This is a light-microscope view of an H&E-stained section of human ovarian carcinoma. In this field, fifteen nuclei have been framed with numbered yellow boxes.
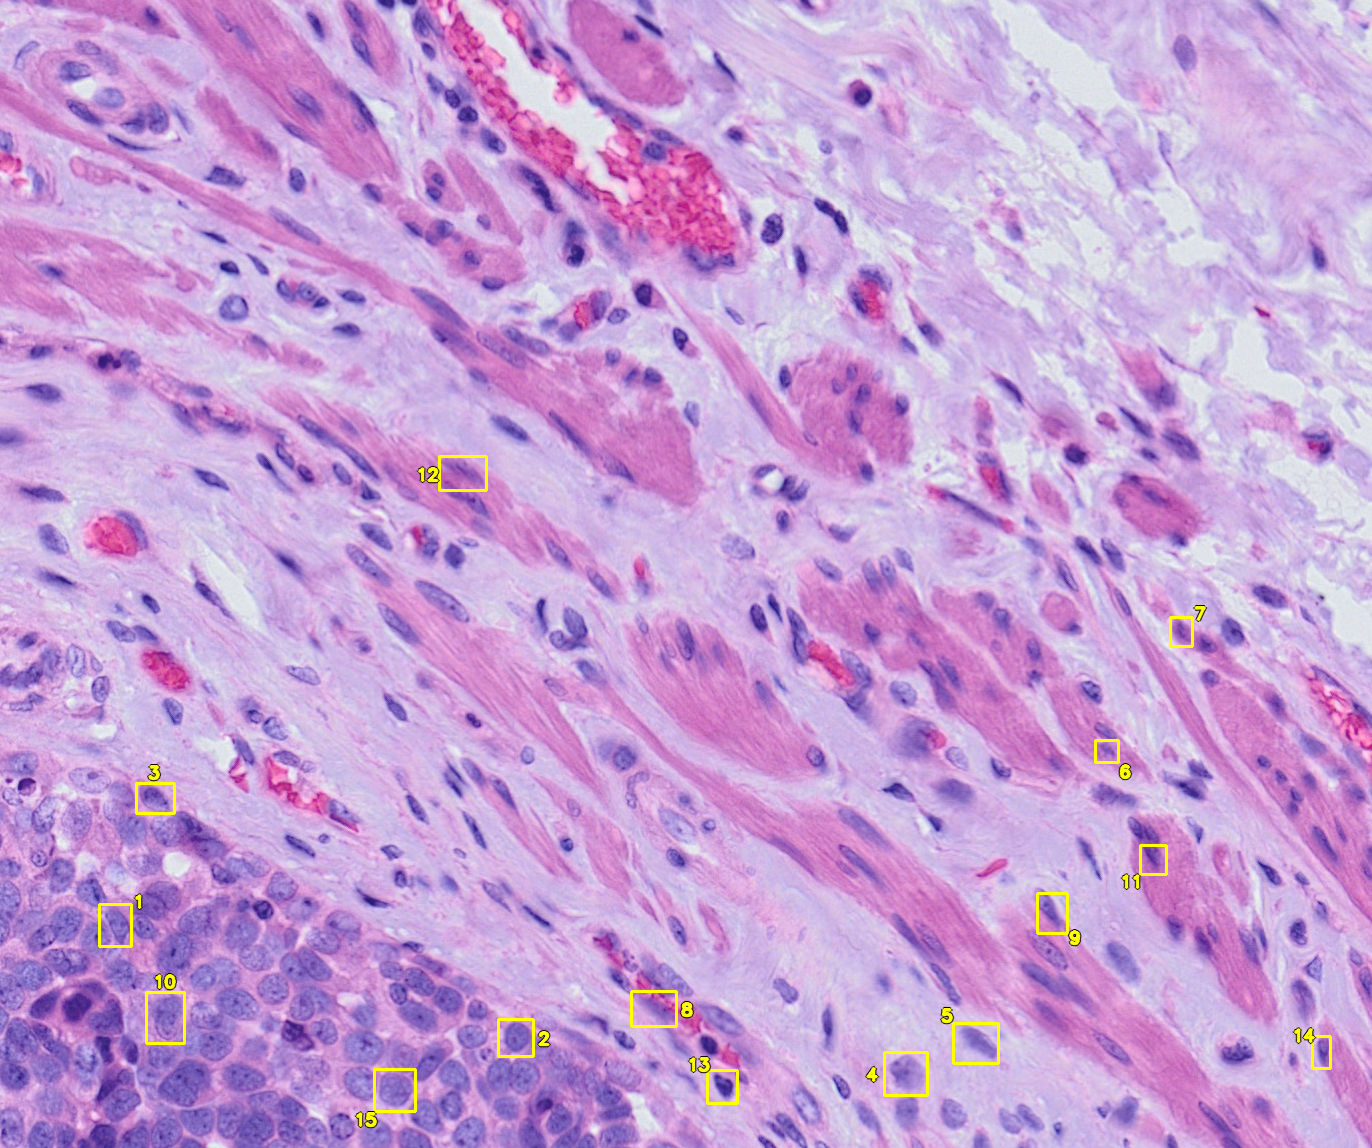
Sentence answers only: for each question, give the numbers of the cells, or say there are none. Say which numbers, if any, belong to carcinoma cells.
By cell type, the cells numbered 1, 2, 10 and 15 are carcinoma cells.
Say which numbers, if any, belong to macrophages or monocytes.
Only the cell numbered 3 is a macrophage or monocyte, and the others are something else.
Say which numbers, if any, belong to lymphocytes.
Response: cell 13 is a lymphocyte, and no other numbered cell is.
